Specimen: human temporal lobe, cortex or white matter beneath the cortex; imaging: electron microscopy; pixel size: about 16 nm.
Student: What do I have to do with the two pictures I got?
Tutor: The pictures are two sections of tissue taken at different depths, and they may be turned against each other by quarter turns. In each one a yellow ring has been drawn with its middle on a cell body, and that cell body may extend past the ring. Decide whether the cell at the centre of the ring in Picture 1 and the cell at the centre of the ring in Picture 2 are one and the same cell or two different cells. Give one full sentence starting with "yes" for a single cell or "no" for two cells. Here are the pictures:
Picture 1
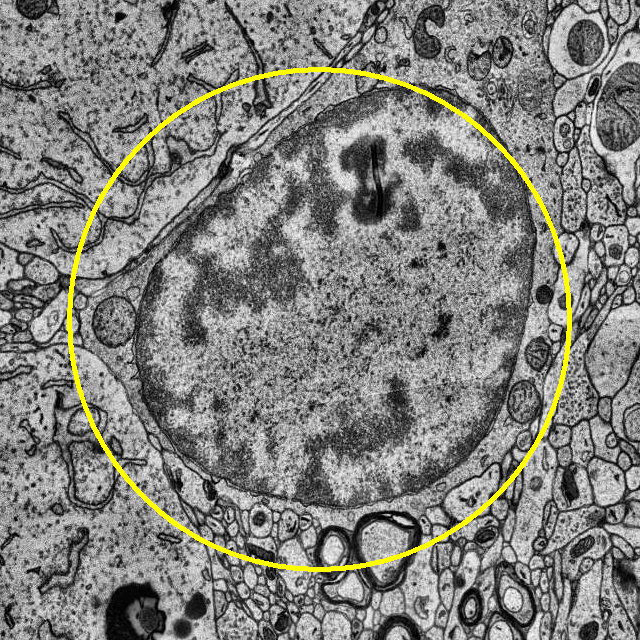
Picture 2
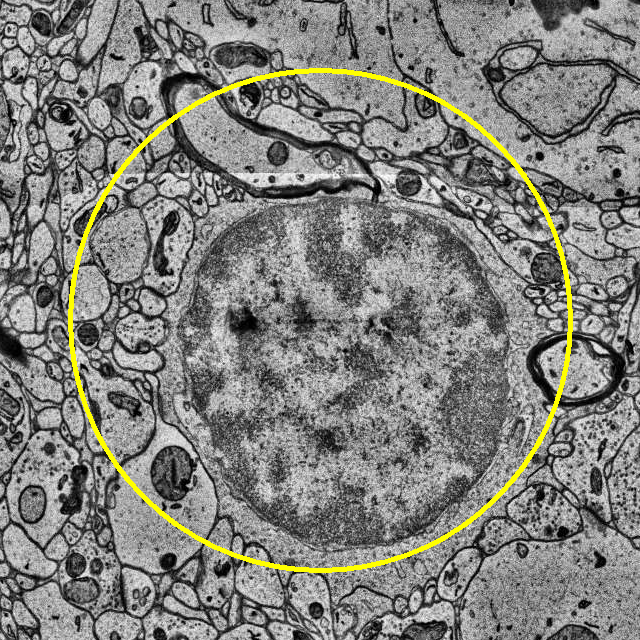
No, two cells, not one, are marked by the yellow rings.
